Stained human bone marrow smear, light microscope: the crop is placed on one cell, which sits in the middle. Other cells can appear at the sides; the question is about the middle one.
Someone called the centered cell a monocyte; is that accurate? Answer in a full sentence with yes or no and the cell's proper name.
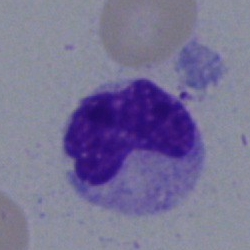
No, the central cell is a band neutrophil; it should not be labelled a monocyte.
